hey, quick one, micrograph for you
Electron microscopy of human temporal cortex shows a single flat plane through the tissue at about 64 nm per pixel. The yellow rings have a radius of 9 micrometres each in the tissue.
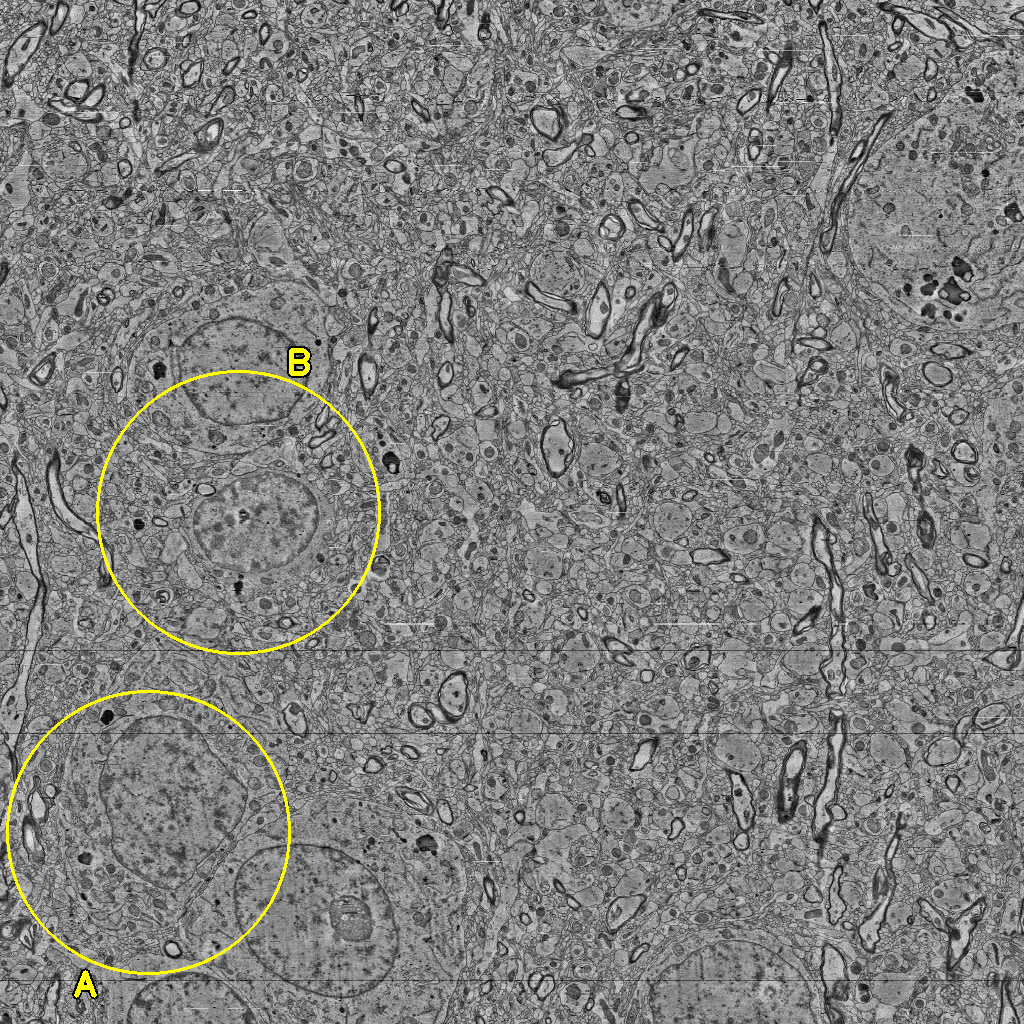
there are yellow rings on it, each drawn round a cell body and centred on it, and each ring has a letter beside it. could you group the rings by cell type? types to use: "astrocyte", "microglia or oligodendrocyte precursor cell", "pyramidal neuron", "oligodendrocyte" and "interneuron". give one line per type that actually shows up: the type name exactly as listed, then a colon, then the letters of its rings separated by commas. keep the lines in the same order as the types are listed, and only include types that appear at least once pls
oligodendrocyte: B
interneuron: A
